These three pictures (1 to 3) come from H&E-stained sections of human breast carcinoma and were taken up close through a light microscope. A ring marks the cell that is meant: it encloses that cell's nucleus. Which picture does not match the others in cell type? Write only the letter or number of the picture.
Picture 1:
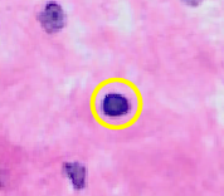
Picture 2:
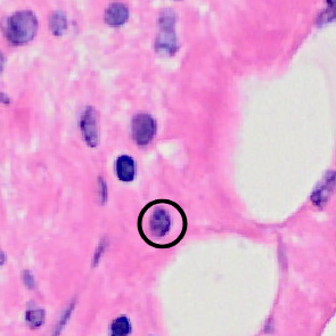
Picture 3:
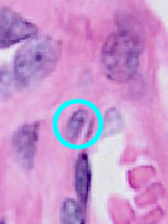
3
